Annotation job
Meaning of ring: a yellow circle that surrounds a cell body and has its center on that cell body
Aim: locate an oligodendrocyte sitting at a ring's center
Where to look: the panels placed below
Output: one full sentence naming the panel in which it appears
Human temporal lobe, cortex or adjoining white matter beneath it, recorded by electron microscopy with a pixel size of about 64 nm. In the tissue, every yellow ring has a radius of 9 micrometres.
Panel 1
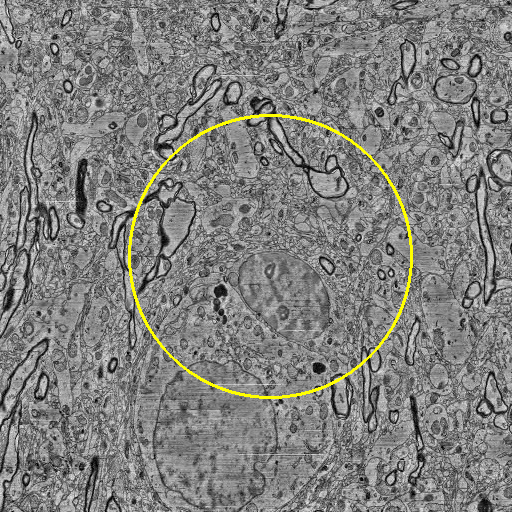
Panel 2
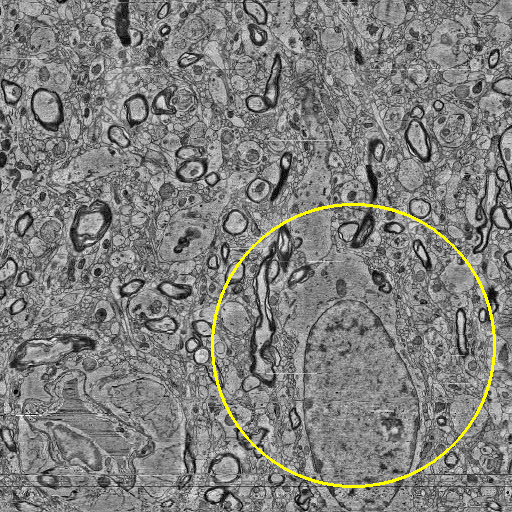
The cell at the center of the ring in panel 1 is the one sought.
